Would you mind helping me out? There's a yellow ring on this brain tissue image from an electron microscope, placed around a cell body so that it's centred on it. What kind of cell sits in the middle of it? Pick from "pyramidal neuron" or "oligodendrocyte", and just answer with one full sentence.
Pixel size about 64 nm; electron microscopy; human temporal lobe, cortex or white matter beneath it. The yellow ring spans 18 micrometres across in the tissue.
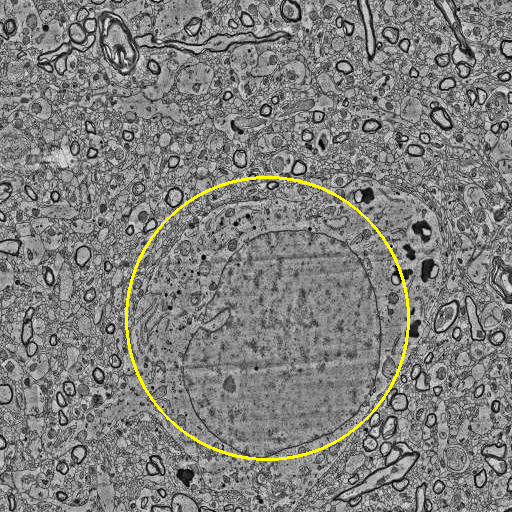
What sits in the middle of that yellow ring is a pyramidal neuron, from your choices.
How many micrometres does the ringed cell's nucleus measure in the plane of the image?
Roughly 15 by 12 micrometres in this plane, for the nucleus of the ringed cell.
